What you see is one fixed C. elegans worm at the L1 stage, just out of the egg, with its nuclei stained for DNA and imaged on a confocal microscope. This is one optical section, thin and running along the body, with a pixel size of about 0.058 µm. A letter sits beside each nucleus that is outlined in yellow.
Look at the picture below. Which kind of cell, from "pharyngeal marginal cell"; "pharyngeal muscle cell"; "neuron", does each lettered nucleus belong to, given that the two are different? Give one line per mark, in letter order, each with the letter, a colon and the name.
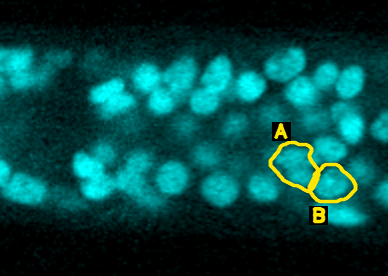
A: pharyngeal marginal cell
B: pharyngeal muscle cell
